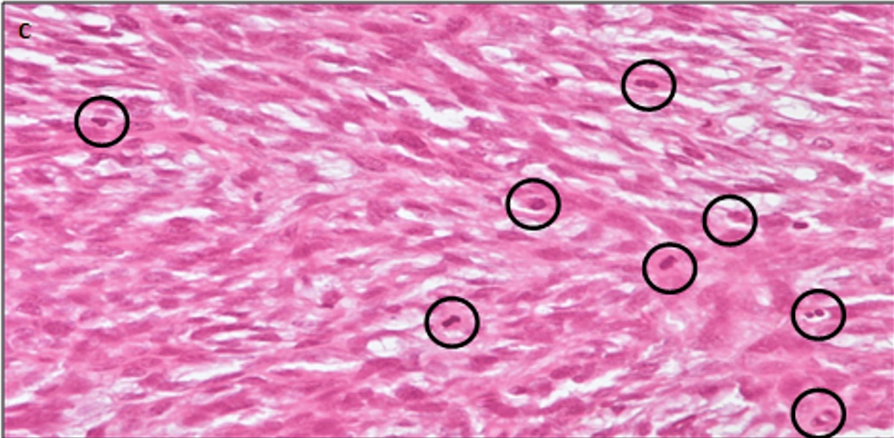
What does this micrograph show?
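This is a sheet of spindled tumor cells, stained pink and purple, seen at high magnification. The nuclei are elongated to plump oval, purple, with fine chromatin, and vary somewhat in size. Scattered through the field are small, very dark, compact chromatin clumps that stand out from the ordinary nuclei as mitotic figures. Small clear spaces and slits lie between some of the cells.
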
